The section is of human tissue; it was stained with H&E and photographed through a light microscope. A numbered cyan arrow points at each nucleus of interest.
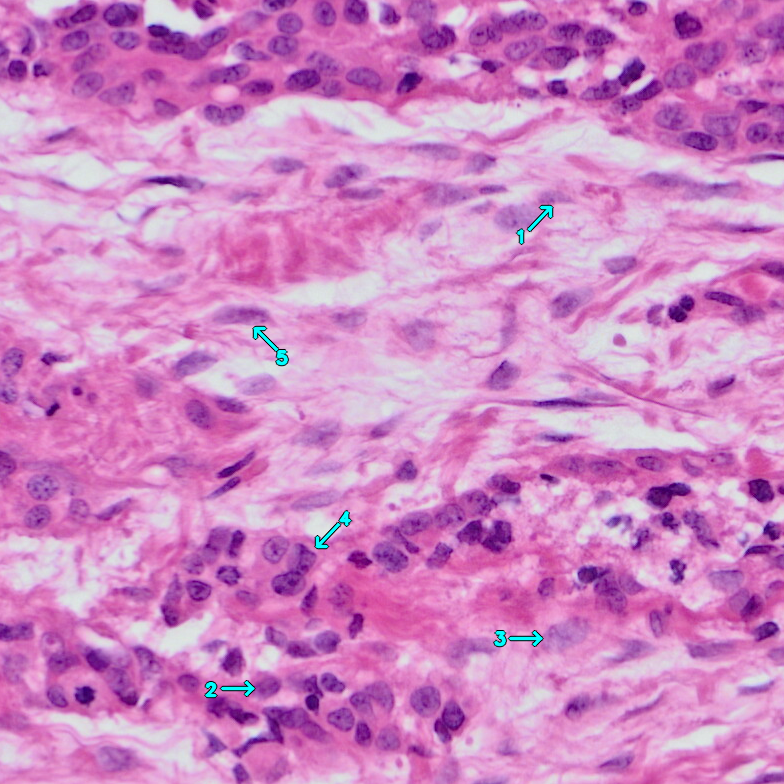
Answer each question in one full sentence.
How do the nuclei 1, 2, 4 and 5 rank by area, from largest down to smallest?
Going from the biggest nucleus down to the smallest gives 5, 4, 2, 1.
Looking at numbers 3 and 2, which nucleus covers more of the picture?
It is nucleus 3, which covers about 2.5 times the area of nucleus 2.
